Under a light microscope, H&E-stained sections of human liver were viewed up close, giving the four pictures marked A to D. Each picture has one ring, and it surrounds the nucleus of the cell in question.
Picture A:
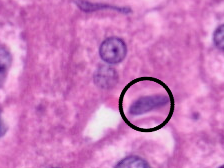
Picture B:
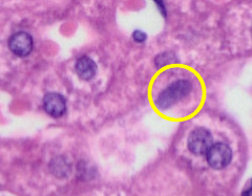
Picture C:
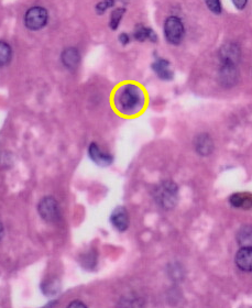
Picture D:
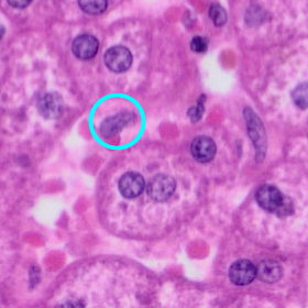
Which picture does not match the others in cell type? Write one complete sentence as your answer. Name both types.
Picture C differs, because its cell is a “fibroblast or stellate cell” and the rest are Kupffer cells.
